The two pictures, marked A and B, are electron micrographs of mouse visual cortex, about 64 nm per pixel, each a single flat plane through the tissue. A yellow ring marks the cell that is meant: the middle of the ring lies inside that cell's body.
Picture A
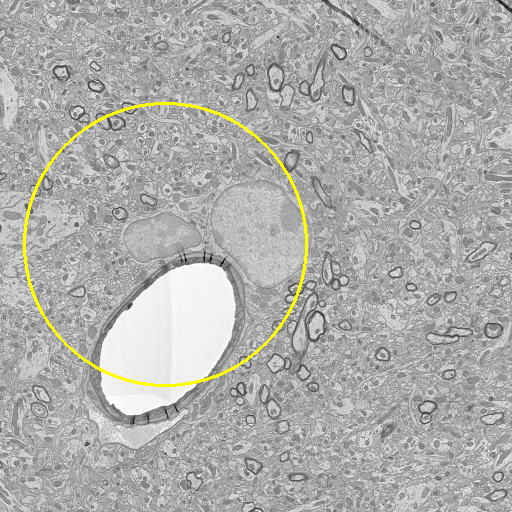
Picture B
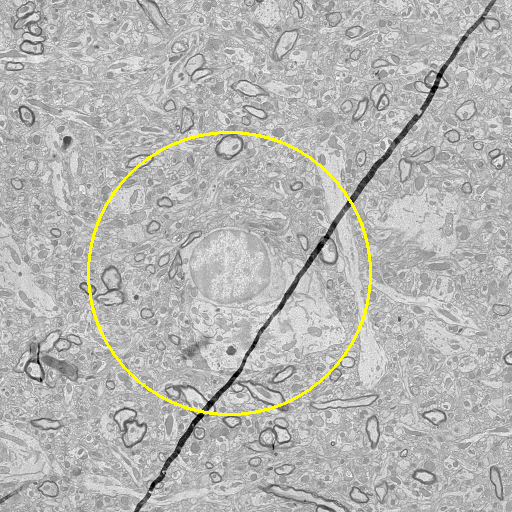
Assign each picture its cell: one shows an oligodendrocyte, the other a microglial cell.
The cell in picture A is a microglial cell, and the one in picture B is an oligodendrocyte.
